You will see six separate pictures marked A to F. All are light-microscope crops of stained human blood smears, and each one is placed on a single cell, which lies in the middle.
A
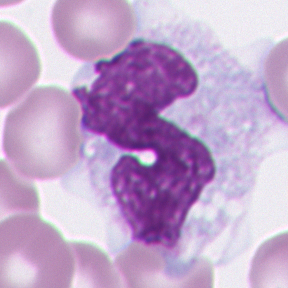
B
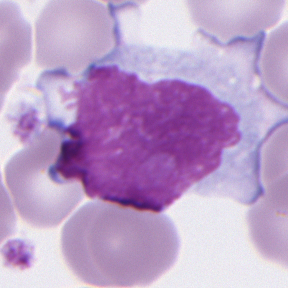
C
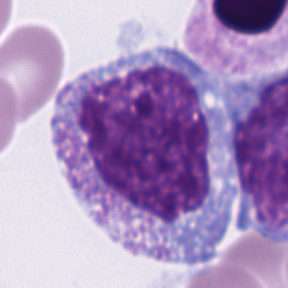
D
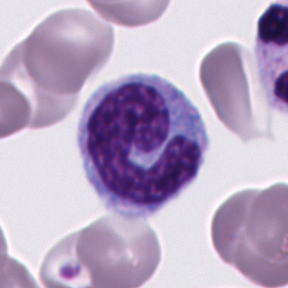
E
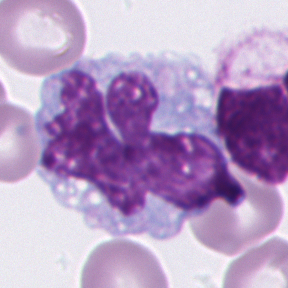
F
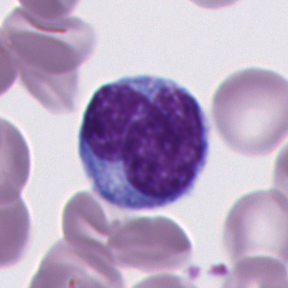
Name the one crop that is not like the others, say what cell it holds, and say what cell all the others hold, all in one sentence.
Found in all crops but one are monocytes; the exception, crop C, contains a promyelocyte.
